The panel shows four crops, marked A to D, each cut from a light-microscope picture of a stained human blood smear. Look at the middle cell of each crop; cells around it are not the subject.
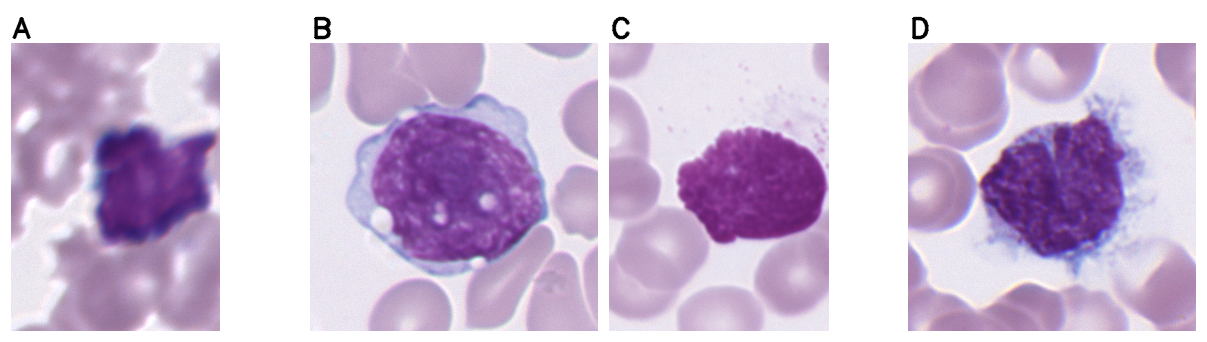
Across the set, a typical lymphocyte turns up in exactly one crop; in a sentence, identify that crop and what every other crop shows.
Crop A is identified as a typical lymphocyte, whereas crop B is a myeloblast, crop C is a smudge cell and crop D is a monocyte.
